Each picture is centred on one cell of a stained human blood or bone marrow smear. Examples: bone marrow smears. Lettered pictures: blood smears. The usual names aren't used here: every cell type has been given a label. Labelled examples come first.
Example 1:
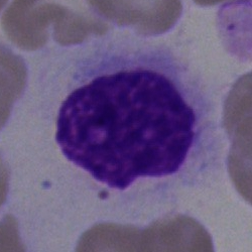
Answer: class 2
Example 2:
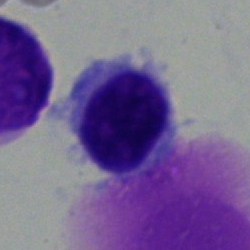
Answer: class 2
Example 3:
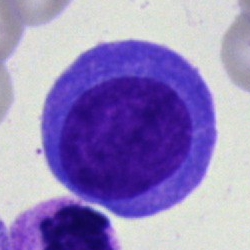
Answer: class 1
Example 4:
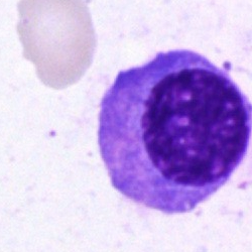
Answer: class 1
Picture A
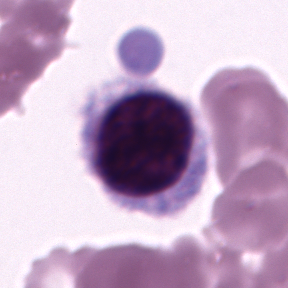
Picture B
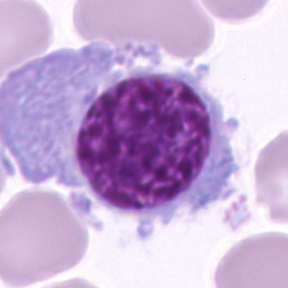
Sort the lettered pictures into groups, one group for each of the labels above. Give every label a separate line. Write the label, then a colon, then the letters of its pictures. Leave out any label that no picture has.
class 2: A
class 1: B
